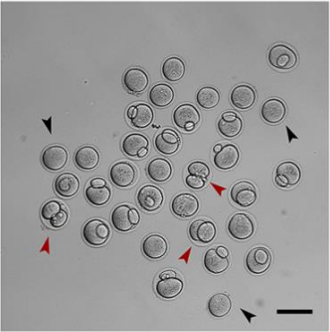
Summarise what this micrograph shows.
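These are oocytes in phase contrast, large round cells with granular cytoplasm, each surrounded by a thin clear outer coat. Several have a small rounded polar body lying beside them under the coat. Some, marked with red arrowheads, carry a second body that is unusually large, looking almost like a cell split into two. Others, marked with black arrowheads, are single round oocytes with no polar body at all.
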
